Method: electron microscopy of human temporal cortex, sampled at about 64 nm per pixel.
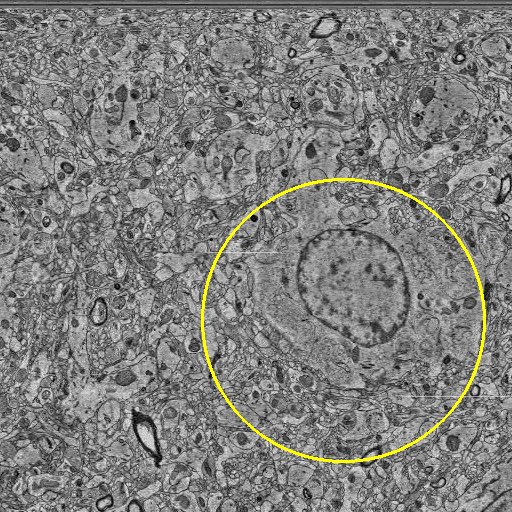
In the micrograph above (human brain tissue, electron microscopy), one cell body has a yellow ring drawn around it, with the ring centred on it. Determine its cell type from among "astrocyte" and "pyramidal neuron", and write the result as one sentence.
The cell whose body is ringed is an astrocyte.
